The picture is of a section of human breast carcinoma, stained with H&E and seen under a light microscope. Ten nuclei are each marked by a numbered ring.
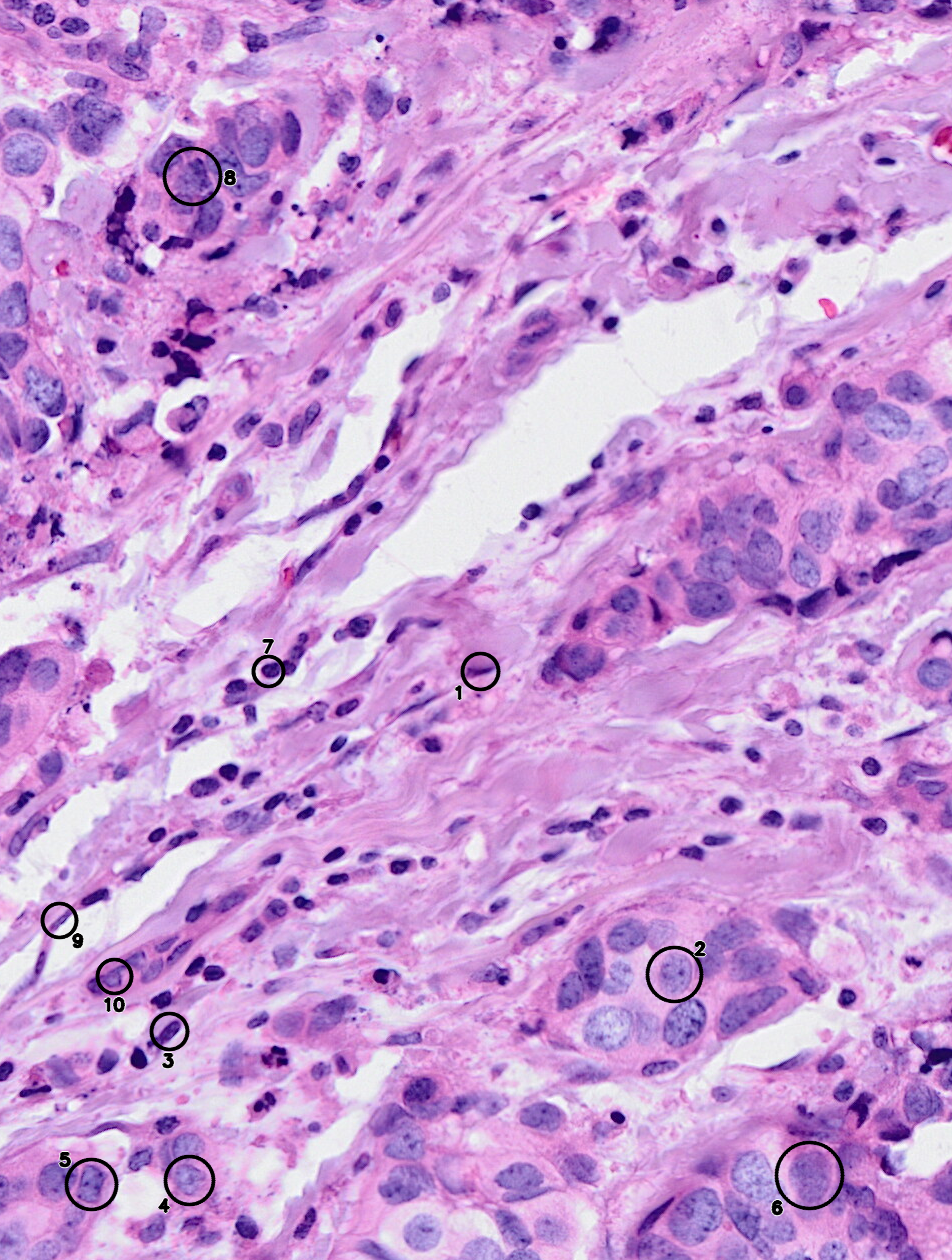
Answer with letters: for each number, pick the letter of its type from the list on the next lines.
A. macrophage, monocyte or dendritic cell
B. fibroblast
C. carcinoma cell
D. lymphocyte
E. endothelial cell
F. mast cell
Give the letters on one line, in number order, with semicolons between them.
B; C; D; C; C; C; D; C; B; E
